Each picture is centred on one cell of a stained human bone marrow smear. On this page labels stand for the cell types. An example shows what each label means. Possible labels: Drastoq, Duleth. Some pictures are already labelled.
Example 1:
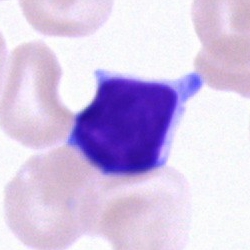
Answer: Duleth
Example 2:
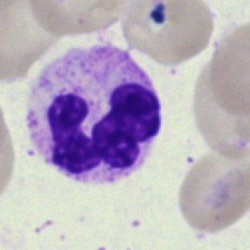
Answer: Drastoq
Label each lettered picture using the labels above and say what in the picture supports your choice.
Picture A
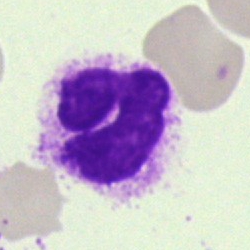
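Answer: Drastoq. The cytoplasm is packed with fine purple granules.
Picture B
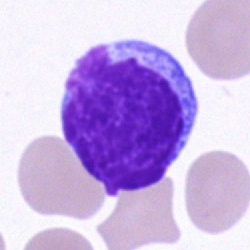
Answer: Duleth. The nucleus fills almost all of the cell.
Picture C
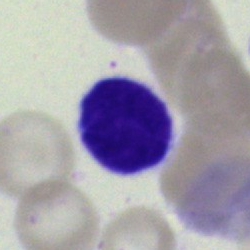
Answer: Duleth. Cytoplasm is scant, at most a barely visible thin rim.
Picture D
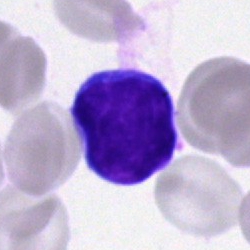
Answer: Duleth. Cytoplasm is scant, so the nucleus fills almost the whole cell.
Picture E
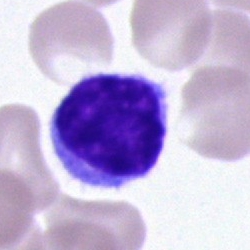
Answer: Duleth. The cytoplasm is scant, forming a thin blue crescent mainly at the lower left.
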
